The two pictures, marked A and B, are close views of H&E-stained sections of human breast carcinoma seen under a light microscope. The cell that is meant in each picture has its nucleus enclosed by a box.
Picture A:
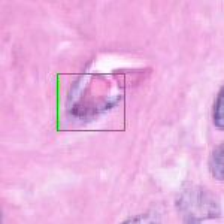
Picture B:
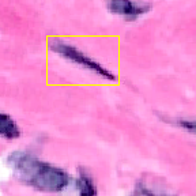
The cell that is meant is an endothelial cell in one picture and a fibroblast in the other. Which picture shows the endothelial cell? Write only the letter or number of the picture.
A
